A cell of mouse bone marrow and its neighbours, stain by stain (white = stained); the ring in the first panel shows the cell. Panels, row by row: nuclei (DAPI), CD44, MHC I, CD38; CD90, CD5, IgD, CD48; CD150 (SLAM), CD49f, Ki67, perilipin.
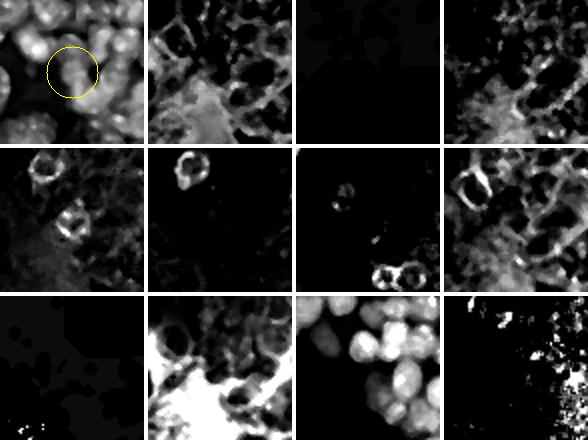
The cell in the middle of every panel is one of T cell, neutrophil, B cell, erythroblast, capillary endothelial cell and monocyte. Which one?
T cell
